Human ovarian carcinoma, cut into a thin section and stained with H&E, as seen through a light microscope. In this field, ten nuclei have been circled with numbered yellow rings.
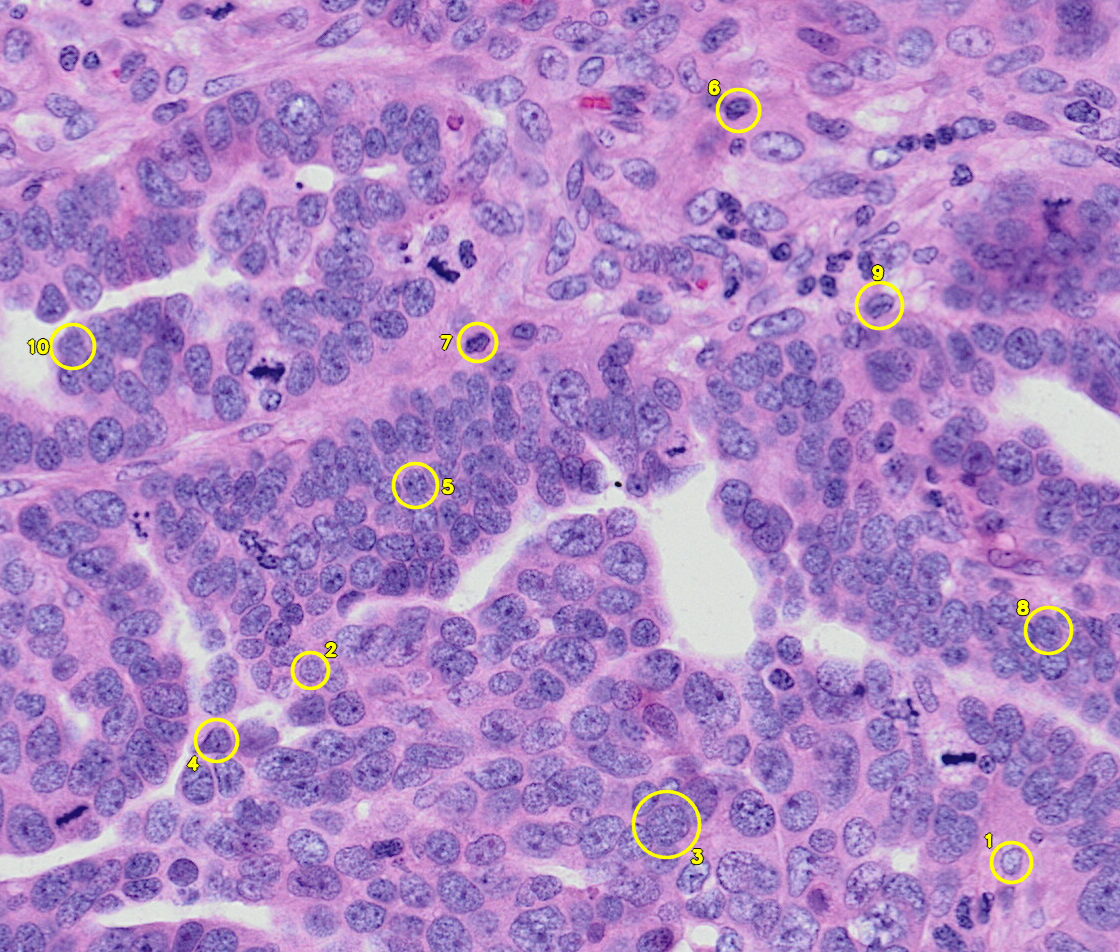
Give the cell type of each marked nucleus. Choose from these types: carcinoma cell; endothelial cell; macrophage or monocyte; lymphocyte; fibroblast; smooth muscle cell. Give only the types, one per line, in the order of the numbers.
fibroblast
carcinoma cell
carcinoma cell
carcinoma cell
carcinoma cell
lymphocyte
lymphocyte
carcinoma cell
macrophage or monocyte
carcinoma cell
